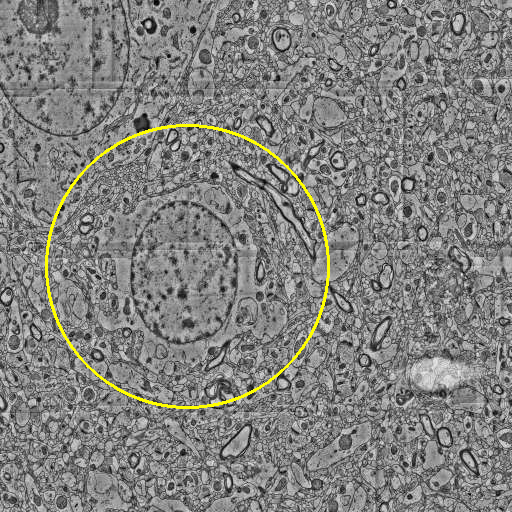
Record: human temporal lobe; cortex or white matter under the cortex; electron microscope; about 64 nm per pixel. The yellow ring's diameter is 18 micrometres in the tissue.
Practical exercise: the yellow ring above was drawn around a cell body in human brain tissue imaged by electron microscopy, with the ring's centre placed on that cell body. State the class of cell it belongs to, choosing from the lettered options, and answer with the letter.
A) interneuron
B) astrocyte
B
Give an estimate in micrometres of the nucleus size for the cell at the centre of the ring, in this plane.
The ringed cell's nucleus measures approximately 9 by 7 micrometres in this plane.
